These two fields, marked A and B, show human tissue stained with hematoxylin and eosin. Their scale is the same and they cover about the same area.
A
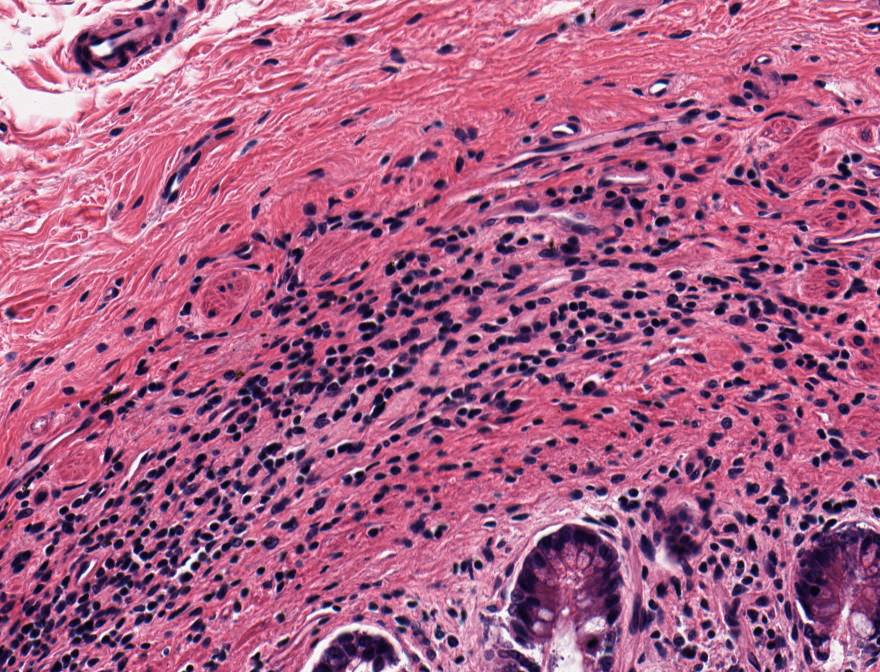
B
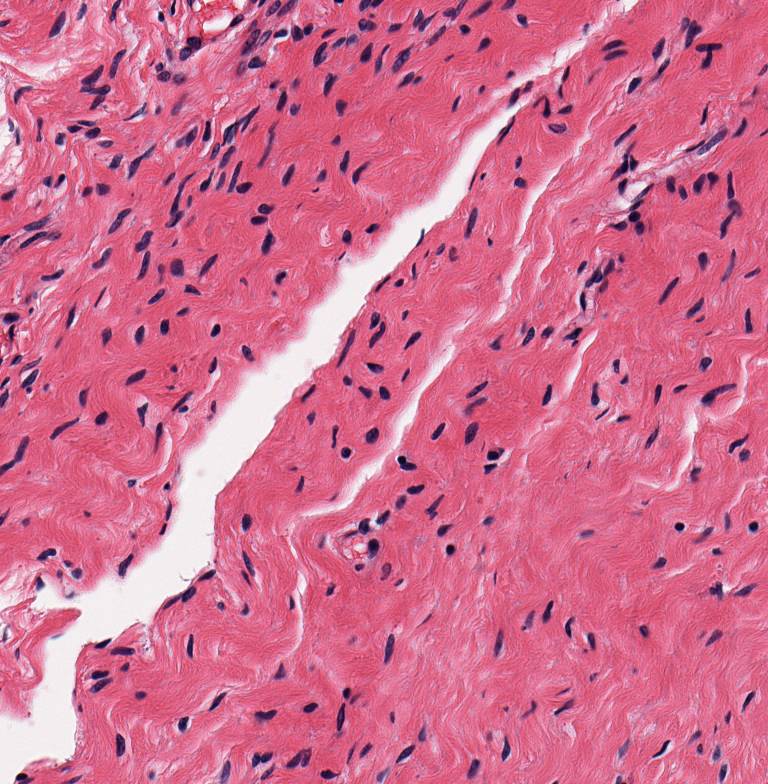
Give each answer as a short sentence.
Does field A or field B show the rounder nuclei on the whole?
Rounder nuclei lie in field A.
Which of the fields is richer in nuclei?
It is field A that has more nuclei in it.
